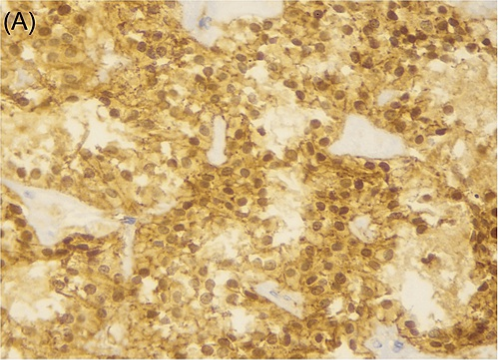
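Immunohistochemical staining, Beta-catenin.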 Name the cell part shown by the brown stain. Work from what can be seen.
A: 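Most nuclei are stained brown. The cytoplasm around the nuclei is also brown. The answer: nucleus and cytoplasm.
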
